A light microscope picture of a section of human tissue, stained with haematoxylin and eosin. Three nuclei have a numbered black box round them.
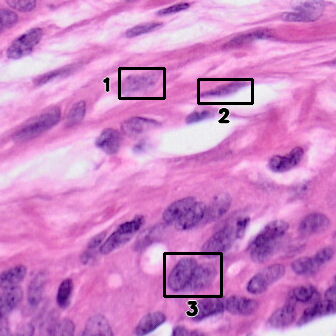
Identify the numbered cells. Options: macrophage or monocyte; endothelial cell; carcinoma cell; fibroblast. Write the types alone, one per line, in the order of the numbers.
fibroblast
fibroblast
carcinoma cell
